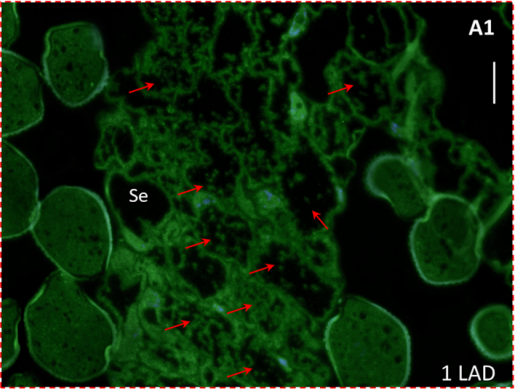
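This is a close view of the septum region of an anther, surrounded by large pollen grains. The pollen grains are oval, with bright rims and a finely granular interior. Between them lie irregular septum cells with thin walls. Their cytoplasm holds a patchy, net-like green fluorescence of fine dots and strands, and the arrows point at these dotted areas. Some cells look partly empty or collapsed, with dark spaces between the fluorescent strands. A few small blue nuclei are scattered among the cells.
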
